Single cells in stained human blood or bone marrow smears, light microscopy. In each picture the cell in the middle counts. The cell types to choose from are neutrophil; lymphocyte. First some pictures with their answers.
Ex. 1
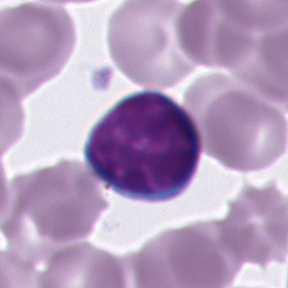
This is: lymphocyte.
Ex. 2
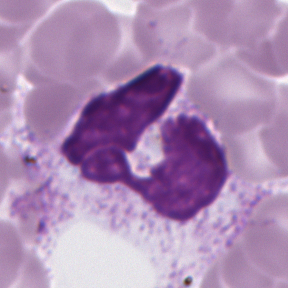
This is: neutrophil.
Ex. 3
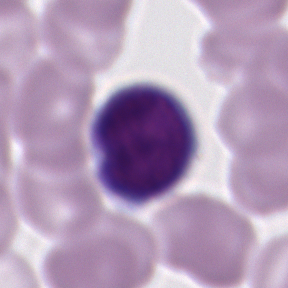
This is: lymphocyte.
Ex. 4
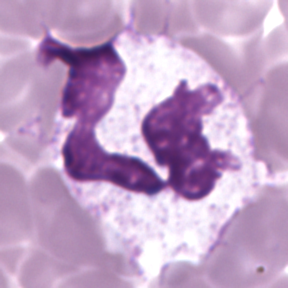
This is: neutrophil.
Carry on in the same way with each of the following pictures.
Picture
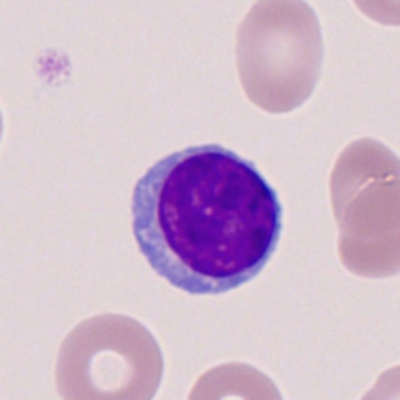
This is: lymphocyte.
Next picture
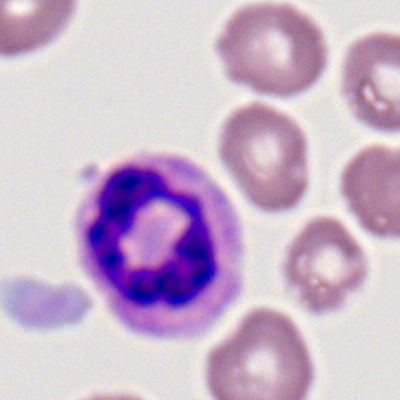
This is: neutrophil.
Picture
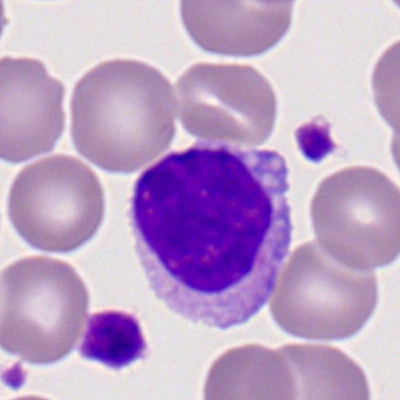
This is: lymphocyte.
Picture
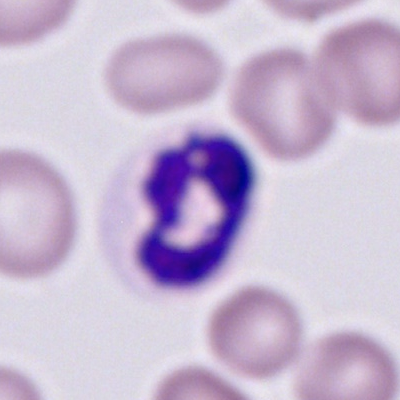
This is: neutrophil.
